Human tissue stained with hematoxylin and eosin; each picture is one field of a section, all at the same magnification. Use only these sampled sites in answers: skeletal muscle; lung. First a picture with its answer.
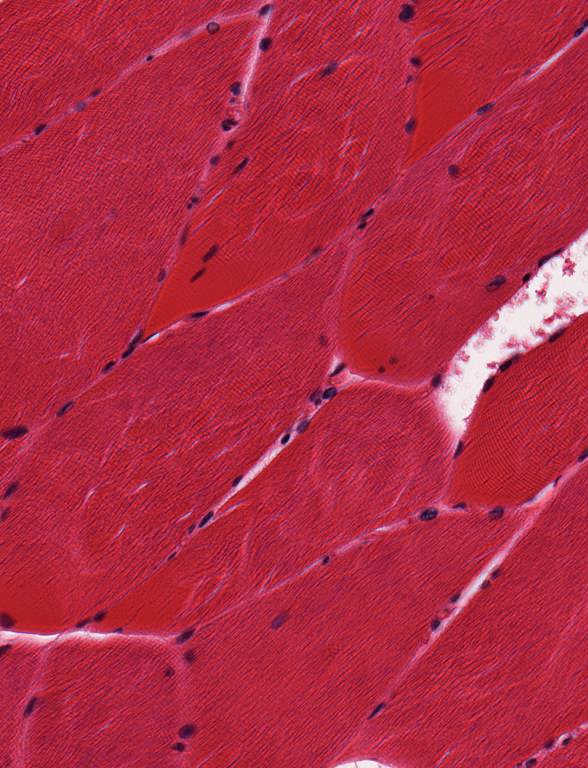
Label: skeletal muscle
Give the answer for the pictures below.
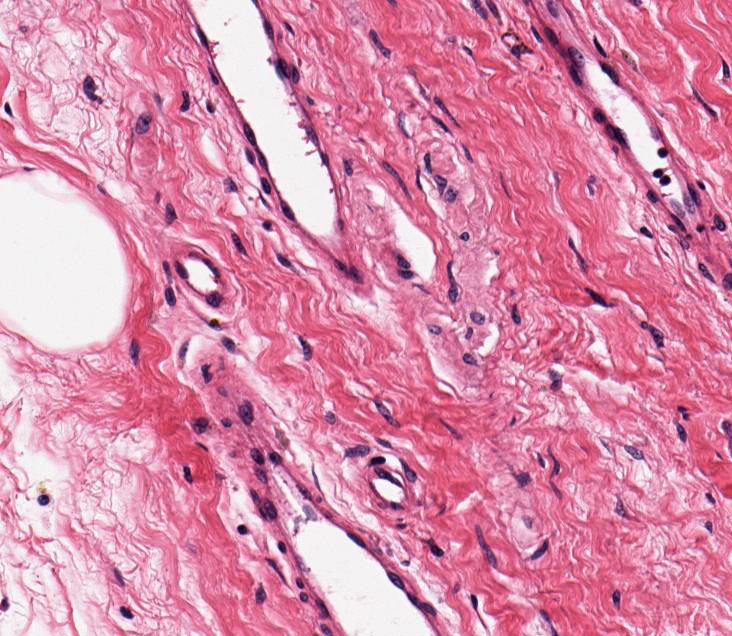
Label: skeletal muscle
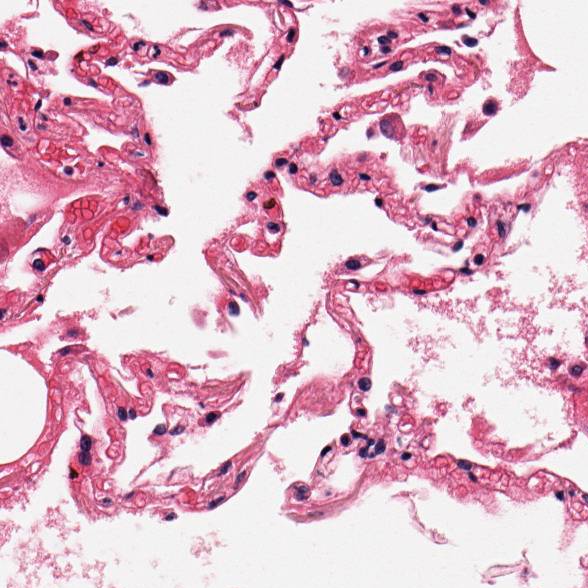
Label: lung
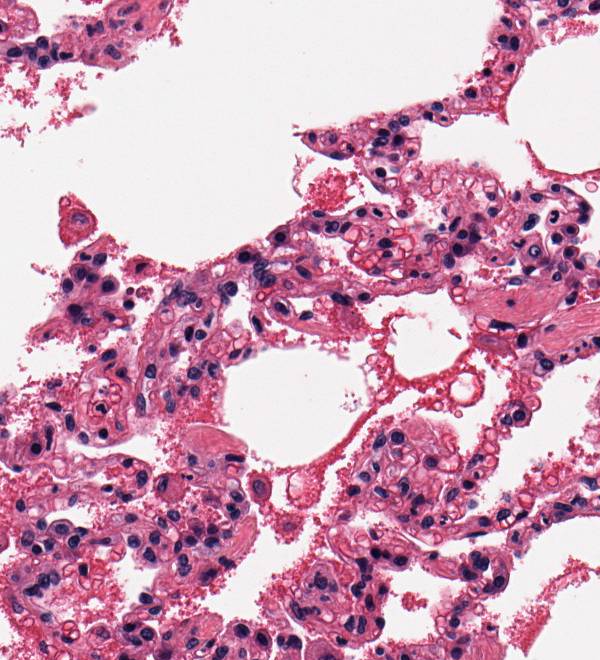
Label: lung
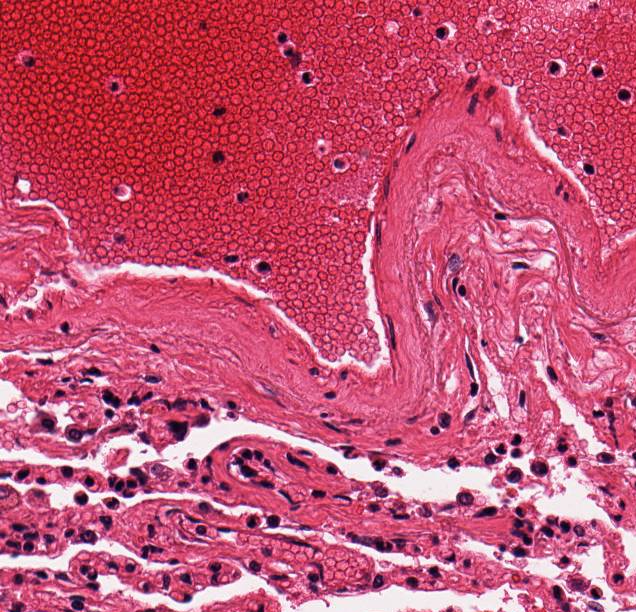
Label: lung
